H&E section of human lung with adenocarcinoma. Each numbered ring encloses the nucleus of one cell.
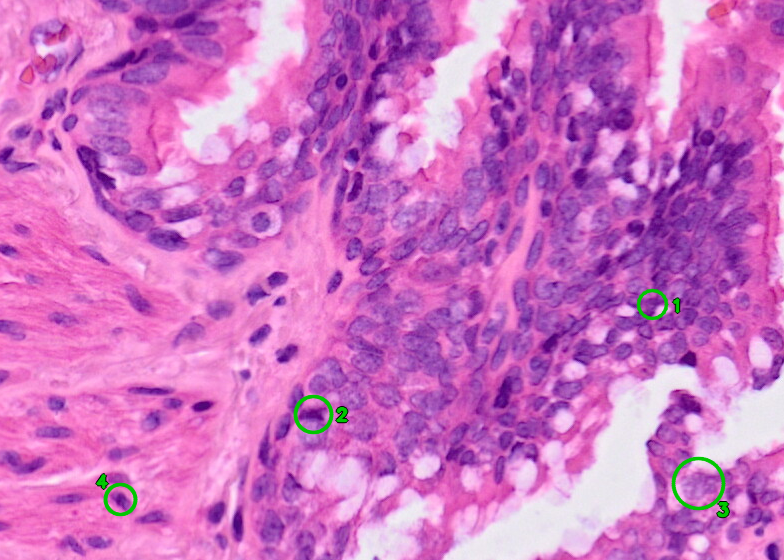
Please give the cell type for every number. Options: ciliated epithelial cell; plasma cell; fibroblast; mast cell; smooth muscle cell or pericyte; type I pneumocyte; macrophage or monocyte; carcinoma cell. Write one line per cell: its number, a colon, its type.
1: ciliated epithelial cell
2: ciliated epithelial cell
3: ciliated epithelial cell
4: smooth muscle cell or pericyte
